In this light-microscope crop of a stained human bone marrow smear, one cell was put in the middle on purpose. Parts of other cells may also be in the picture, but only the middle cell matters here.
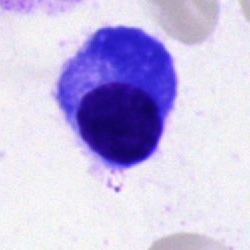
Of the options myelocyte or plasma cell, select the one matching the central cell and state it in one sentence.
The centrally located cell in the crop is a plasma cell.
